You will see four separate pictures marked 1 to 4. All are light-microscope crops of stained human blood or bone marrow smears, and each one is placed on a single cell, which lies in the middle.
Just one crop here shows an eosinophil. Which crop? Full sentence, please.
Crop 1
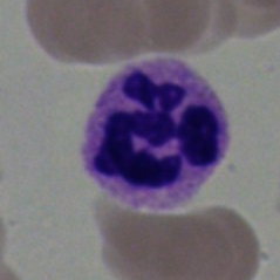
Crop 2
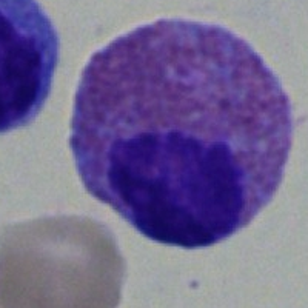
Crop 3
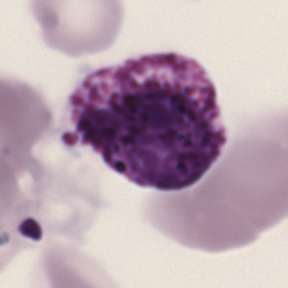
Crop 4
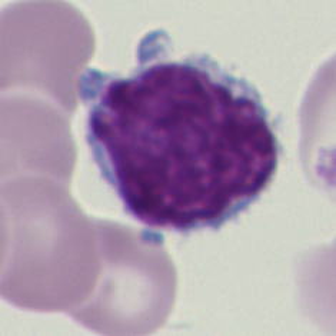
Crop 2 is the crop containing an eosinophil.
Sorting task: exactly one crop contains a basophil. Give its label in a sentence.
The crop marked 3 is the one in which a basophil is shown.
